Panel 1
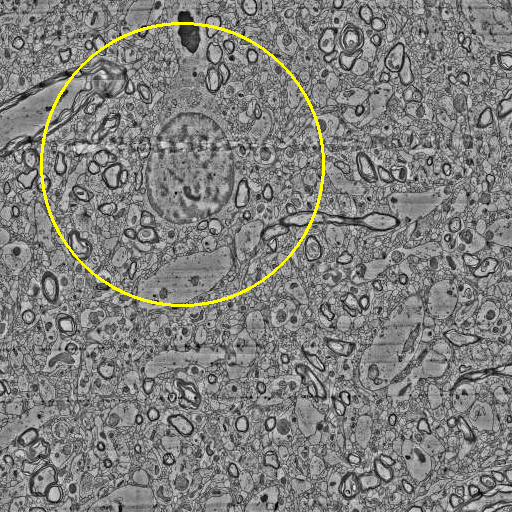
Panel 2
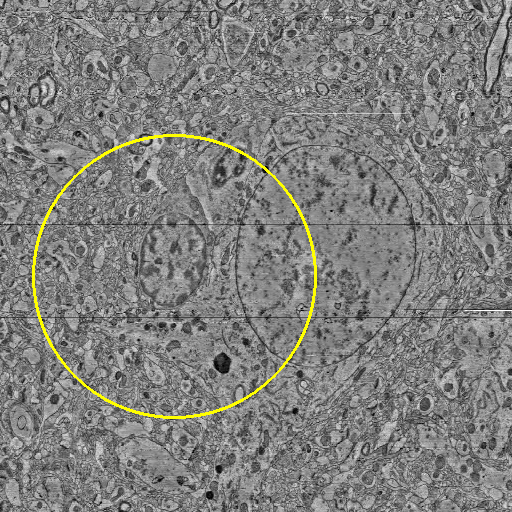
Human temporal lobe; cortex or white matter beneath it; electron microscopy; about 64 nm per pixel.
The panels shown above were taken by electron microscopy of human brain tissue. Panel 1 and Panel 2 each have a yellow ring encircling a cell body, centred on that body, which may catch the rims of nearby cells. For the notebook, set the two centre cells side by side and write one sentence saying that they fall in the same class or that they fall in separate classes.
The centred cells of Panel 1 and Panel 2 fall in the same class.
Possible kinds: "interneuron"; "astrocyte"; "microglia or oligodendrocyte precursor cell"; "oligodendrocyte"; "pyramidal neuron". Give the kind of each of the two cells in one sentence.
Both pictures show an oligodendrocyte at the centre of the ring.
